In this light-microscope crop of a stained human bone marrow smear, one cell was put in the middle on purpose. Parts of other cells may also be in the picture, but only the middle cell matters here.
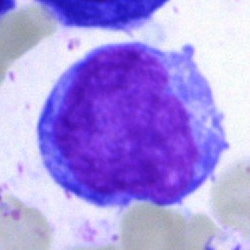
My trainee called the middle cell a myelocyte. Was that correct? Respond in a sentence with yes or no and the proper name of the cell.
No, in the centre of the crop lies a blast, not a myelocyte.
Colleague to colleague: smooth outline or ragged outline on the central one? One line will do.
The cell shows an uneven border, formed by ragged areas or by outward projections.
